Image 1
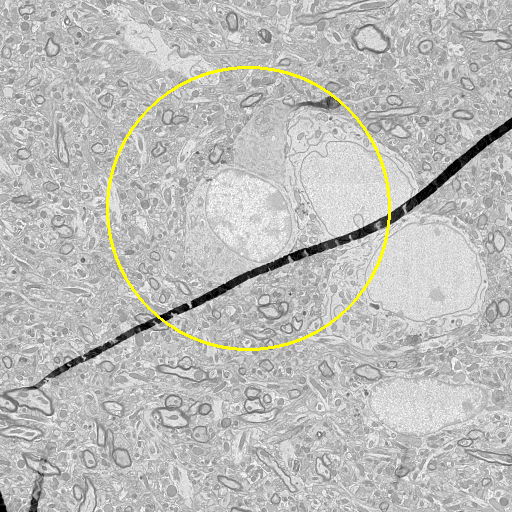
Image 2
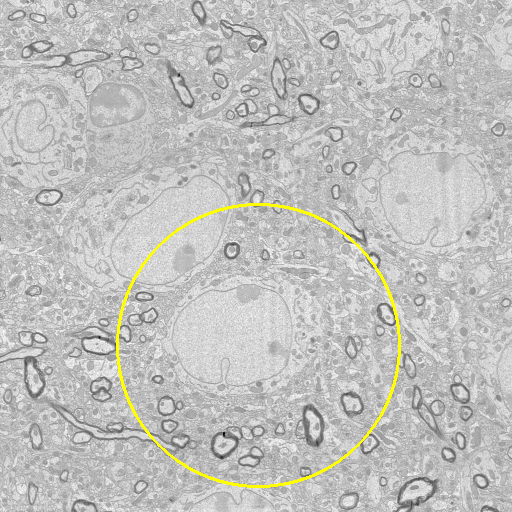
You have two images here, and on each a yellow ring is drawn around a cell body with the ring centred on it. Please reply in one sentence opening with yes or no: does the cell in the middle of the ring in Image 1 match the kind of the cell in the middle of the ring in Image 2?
No, the two images show cells of two kinds at the centres of their rings.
